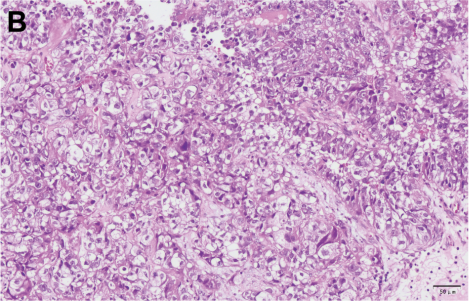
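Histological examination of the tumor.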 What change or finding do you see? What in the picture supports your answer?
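Clear cell morphology. Many tumor cells have pale, empty-looking cytoplasm. Cell borders are distinct around the clear cytoplasm. Nuclei are dark and stand out against the clear cytoplasm.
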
